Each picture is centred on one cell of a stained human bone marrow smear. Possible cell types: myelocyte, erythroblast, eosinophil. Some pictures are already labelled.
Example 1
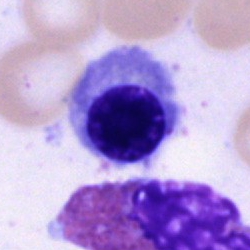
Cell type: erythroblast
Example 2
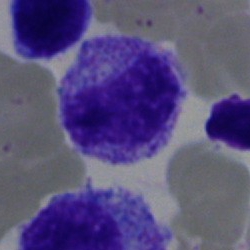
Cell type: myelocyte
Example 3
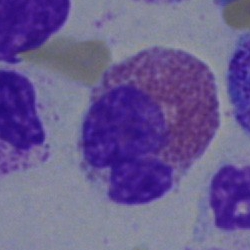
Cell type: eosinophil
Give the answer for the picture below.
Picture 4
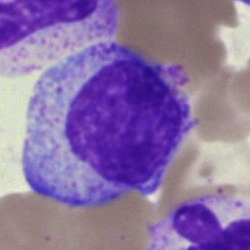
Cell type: myelocyte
